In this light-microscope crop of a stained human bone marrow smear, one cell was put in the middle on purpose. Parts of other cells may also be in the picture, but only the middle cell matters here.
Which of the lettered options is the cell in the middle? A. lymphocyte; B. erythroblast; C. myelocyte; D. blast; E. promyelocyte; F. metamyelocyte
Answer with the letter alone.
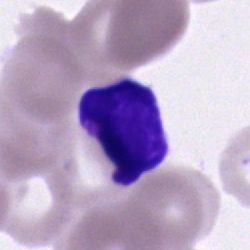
A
